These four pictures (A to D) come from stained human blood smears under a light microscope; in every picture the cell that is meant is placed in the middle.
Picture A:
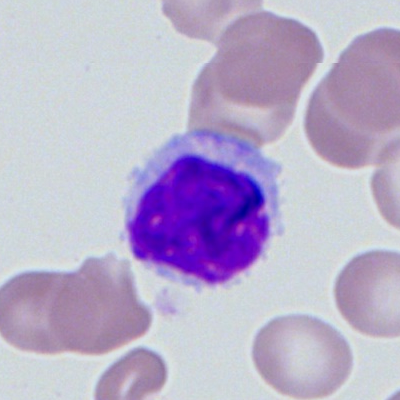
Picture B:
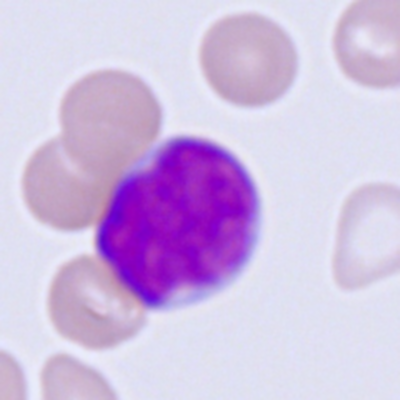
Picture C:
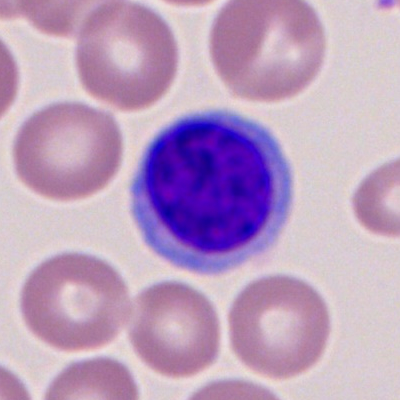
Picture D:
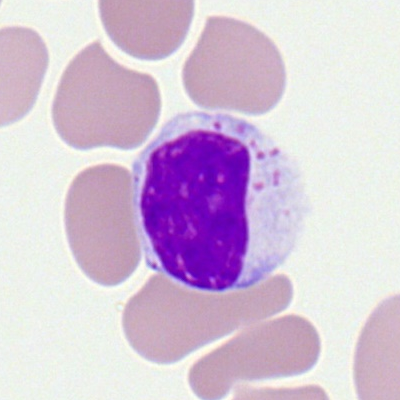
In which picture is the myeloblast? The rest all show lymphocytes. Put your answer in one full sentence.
Picture B is the one that shows the myeloblast.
